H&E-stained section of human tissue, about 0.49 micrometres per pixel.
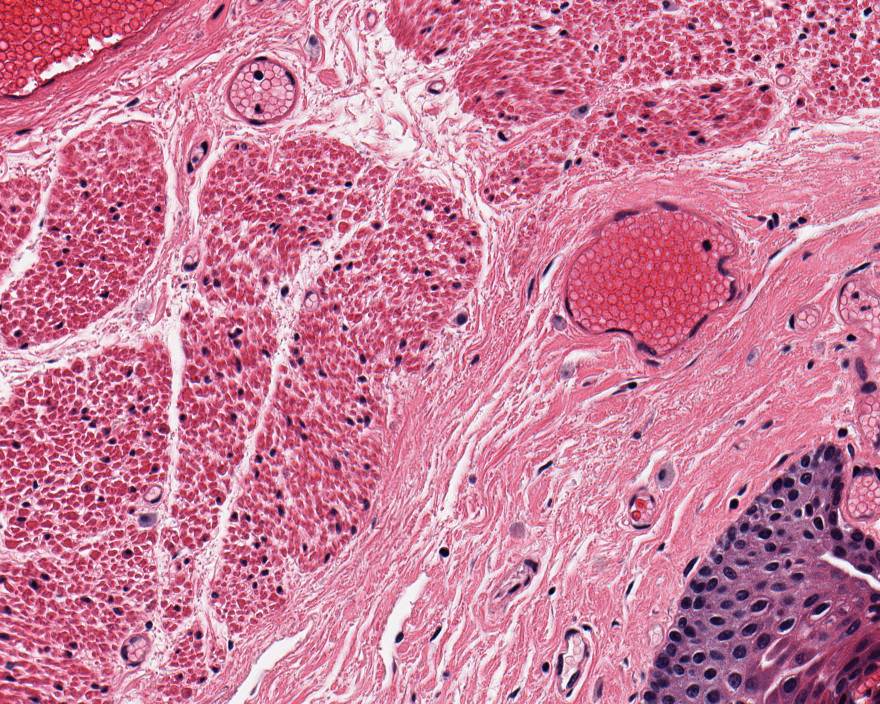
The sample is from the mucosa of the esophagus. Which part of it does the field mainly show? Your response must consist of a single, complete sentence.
This histology image has as its subject the part called smooth muscle.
